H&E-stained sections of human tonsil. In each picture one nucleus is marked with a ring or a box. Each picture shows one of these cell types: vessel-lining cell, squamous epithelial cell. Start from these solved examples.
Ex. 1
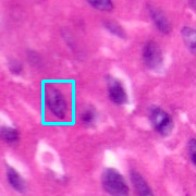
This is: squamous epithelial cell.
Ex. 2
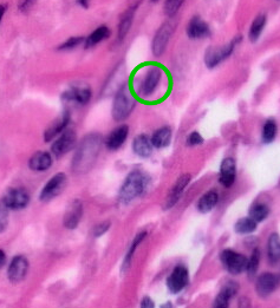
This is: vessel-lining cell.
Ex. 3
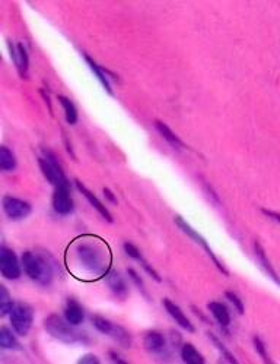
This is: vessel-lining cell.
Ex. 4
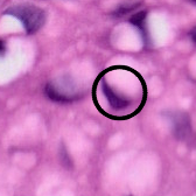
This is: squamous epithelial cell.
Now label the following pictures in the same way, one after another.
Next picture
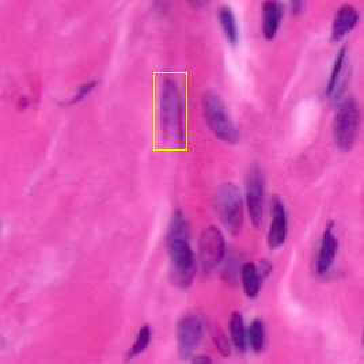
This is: vessel-lining cell.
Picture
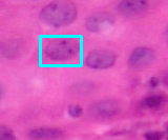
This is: squamous epithelial cell.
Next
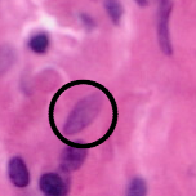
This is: vessel-lining cell.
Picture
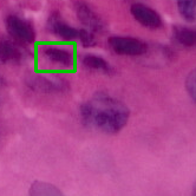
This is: squamous epithelial cell.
